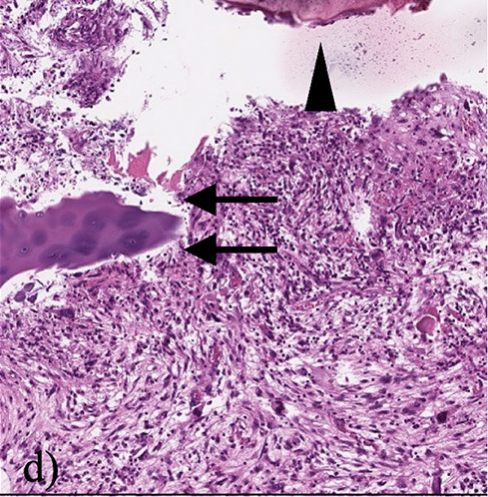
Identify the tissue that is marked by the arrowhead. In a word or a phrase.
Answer: Bone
